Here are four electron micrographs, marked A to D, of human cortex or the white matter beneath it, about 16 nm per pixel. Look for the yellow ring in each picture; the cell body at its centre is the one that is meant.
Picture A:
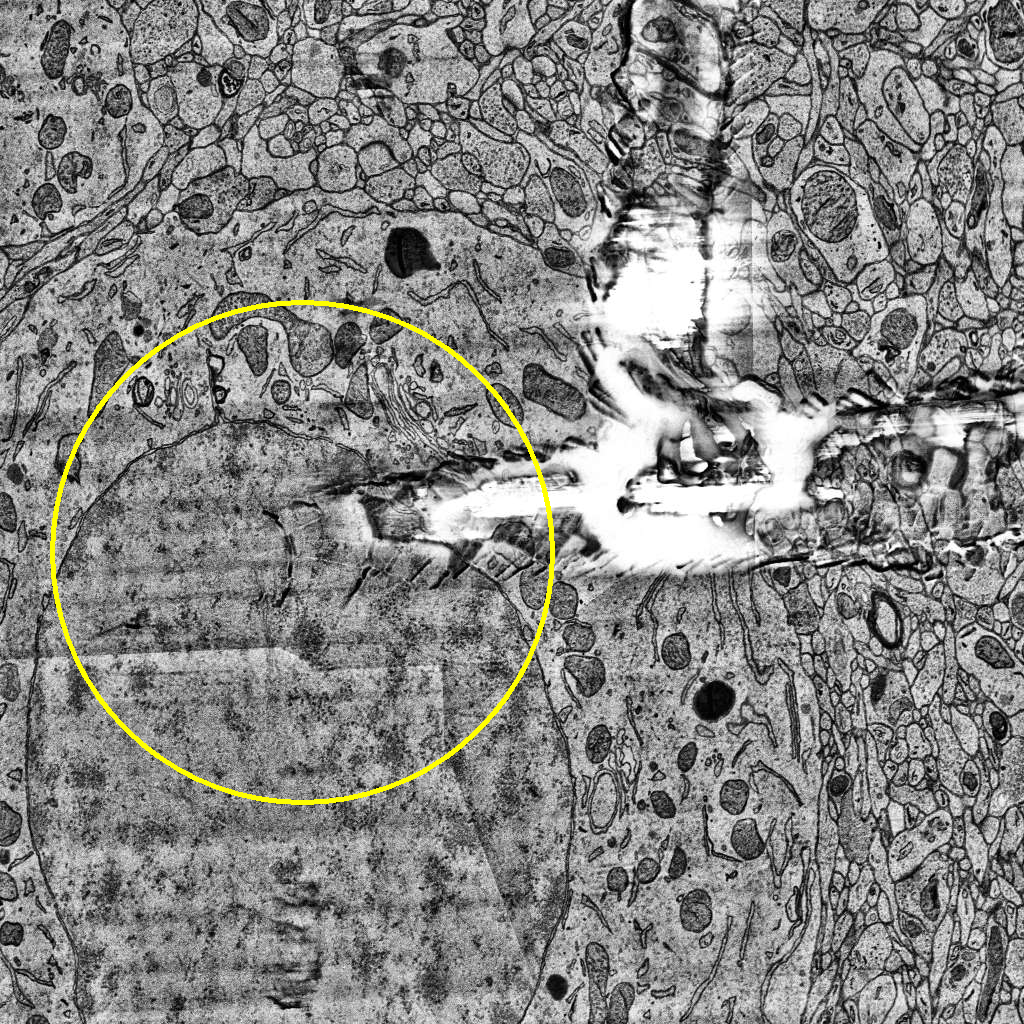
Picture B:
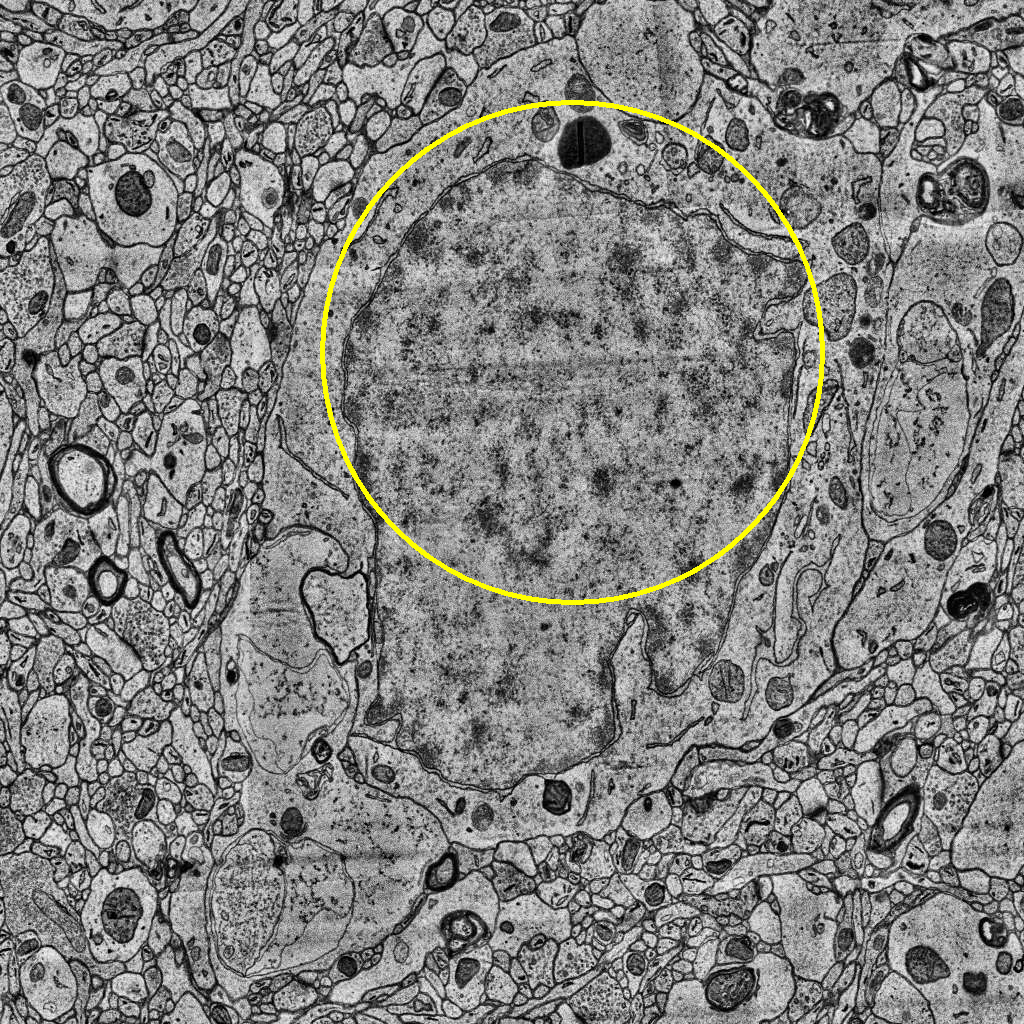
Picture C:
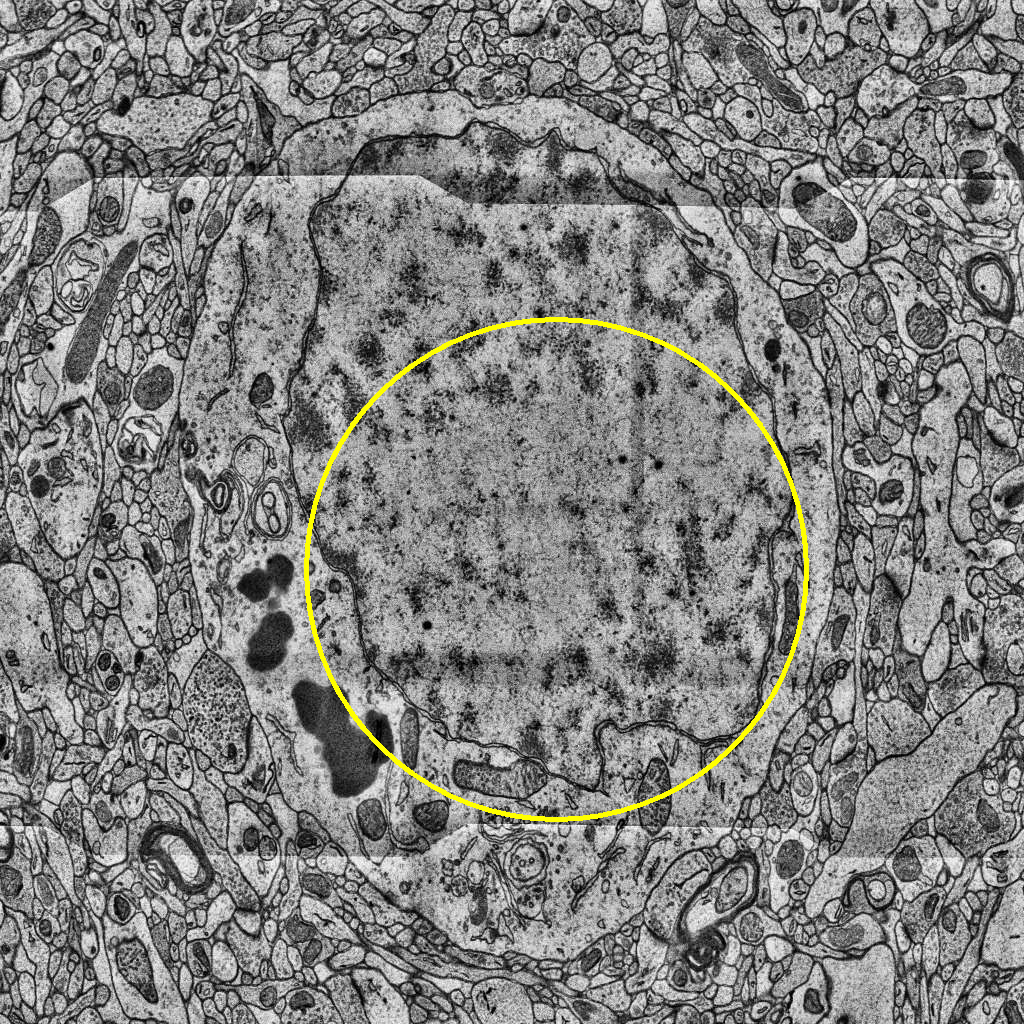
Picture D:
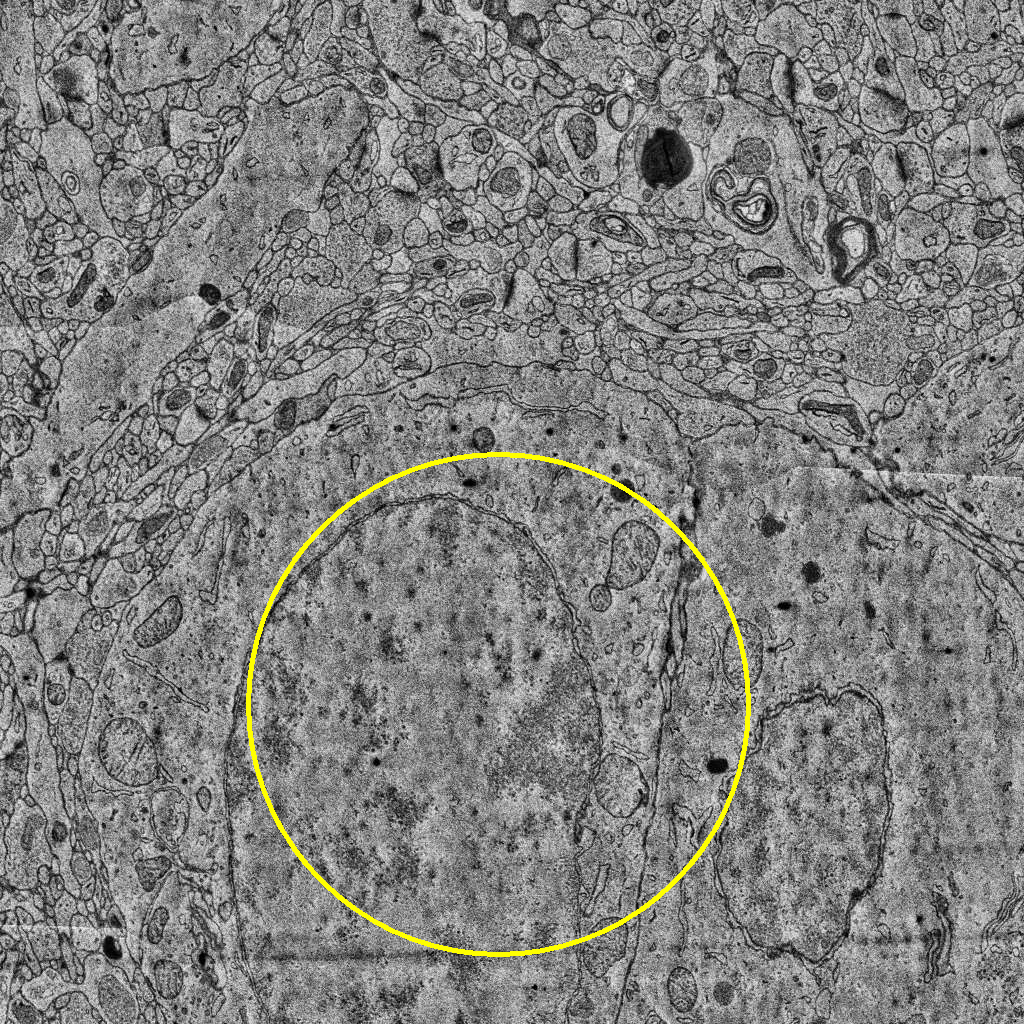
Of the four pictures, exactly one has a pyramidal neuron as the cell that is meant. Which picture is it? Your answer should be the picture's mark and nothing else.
D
